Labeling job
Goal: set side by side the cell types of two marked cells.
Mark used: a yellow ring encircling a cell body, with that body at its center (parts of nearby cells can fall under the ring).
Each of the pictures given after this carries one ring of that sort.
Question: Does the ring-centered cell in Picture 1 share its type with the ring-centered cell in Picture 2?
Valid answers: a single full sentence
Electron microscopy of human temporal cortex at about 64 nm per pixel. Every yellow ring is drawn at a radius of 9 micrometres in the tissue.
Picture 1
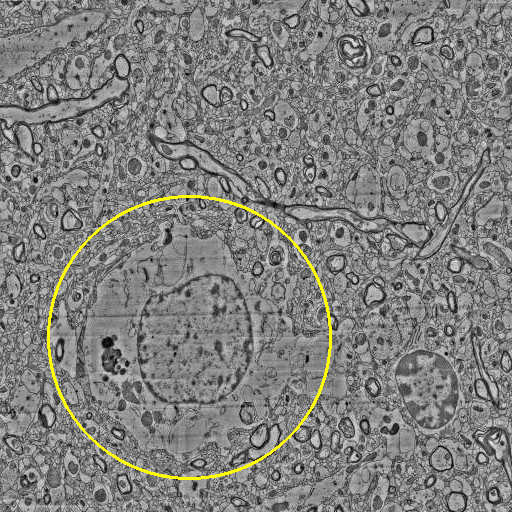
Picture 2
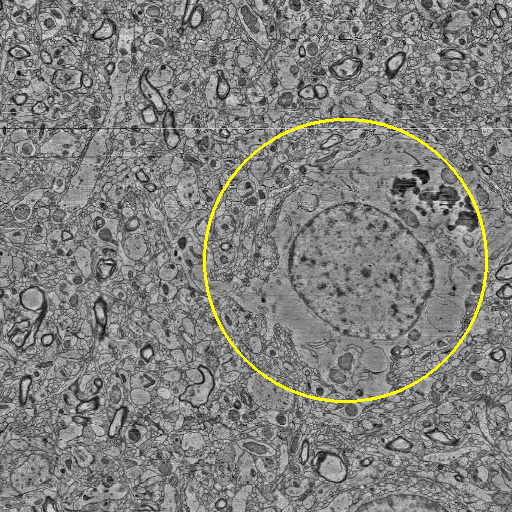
Yes, in Pictures 1 and 2 the cells at the ring centers share one type.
